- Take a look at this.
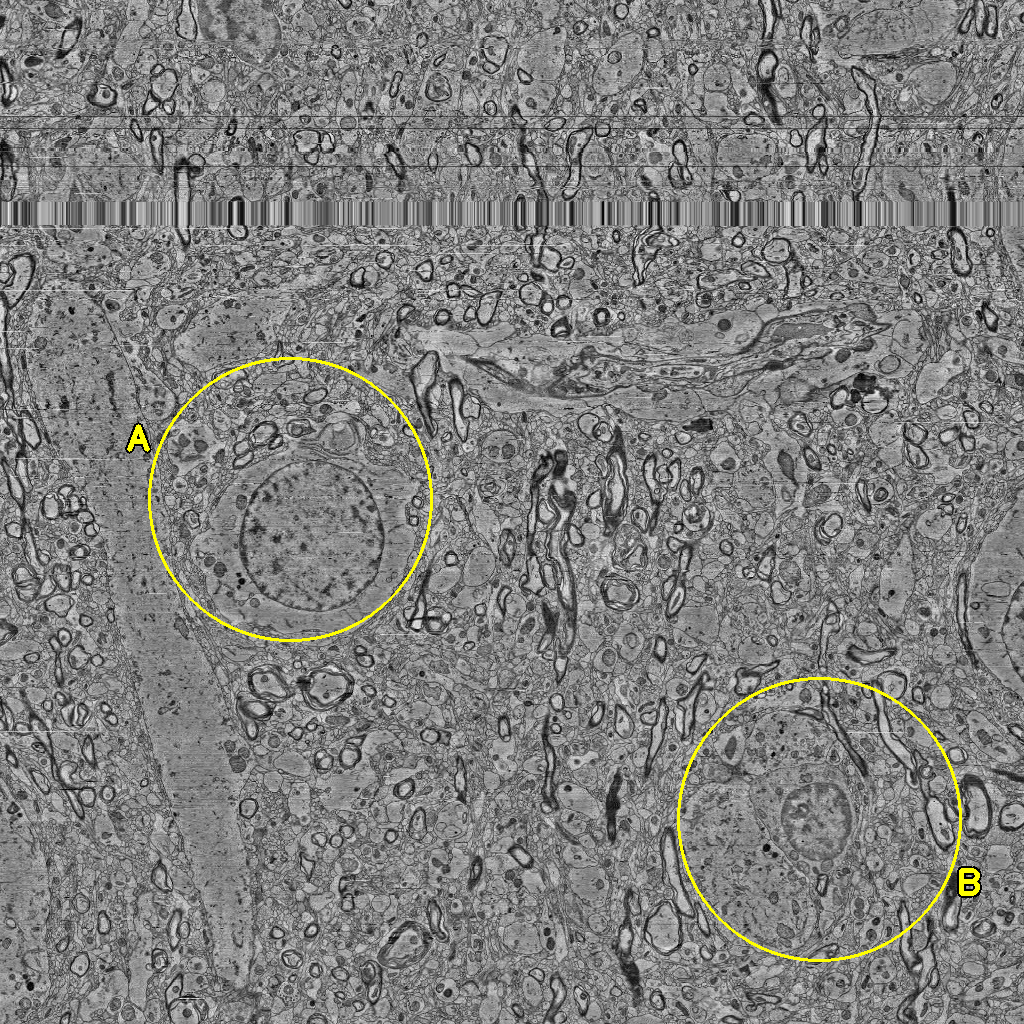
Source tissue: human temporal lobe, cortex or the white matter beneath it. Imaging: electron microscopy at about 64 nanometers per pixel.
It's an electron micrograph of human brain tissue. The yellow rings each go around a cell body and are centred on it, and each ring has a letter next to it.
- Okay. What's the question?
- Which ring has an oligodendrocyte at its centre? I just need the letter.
B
